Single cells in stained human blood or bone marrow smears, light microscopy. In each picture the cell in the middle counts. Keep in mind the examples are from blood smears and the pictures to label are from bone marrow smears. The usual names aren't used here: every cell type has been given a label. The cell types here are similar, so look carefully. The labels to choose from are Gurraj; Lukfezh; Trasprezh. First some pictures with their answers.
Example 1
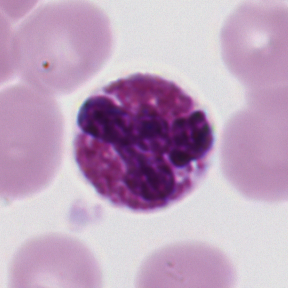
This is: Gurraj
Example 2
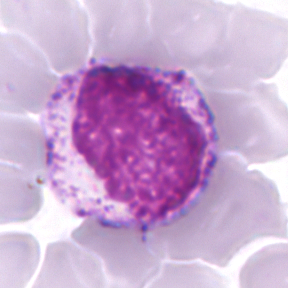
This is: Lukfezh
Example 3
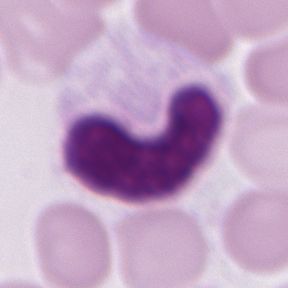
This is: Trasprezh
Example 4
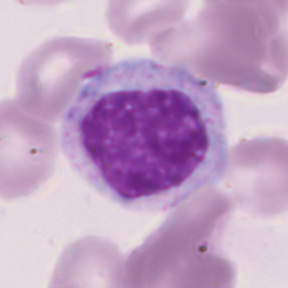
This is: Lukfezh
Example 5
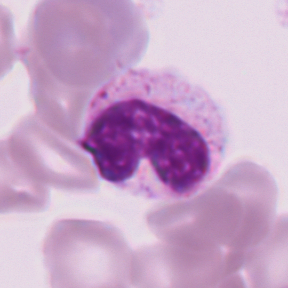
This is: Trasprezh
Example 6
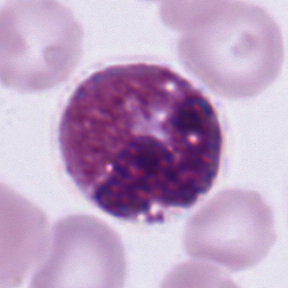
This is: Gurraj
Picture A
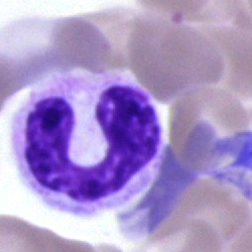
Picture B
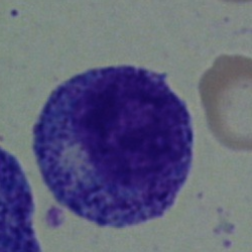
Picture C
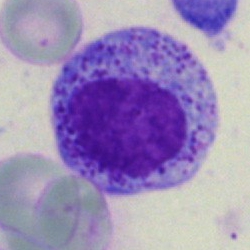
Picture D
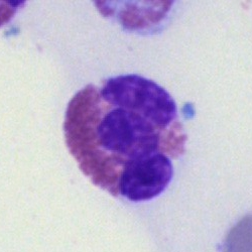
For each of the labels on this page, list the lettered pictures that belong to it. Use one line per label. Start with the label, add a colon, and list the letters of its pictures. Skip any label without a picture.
Gurraj: D
Lukfezh: B, C
Trasprezh: A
